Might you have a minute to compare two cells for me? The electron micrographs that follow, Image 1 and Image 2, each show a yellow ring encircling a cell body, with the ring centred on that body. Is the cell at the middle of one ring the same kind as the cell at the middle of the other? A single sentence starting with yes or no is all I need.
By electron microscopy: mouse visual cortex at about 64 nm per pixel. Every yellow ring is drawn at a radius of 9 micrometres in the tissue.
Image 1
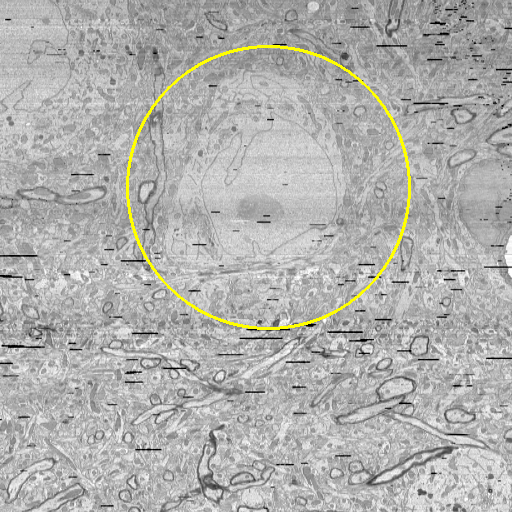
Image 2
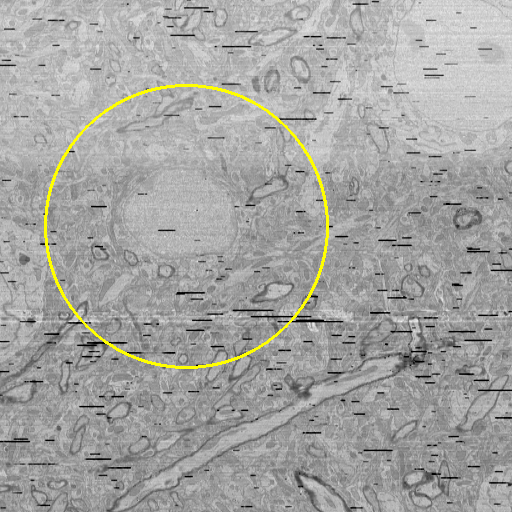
No, the cells in the middle of the two rings are of two separate kinds.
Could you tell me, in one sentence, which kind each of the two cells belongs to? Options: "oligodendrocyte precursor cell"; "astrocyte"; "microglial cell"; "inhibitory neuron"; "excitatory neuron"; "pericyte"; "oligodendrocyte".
At the centre of the first ring sits an excitatory neuron, and at the centre of the second sits an astrocyte.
